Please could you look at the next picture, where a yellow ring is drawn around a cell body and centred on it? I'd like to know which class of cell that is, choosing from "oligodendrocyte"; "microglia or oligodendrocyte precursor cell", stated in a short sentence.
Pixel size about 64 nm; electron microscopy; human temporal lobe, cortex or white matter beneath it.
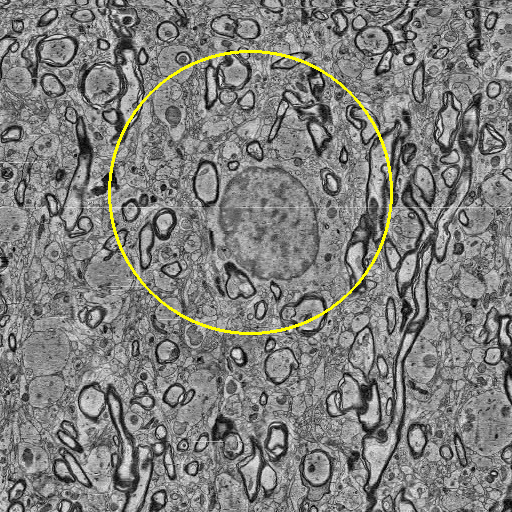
The ring's centre lies on an oligodendrocyte.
